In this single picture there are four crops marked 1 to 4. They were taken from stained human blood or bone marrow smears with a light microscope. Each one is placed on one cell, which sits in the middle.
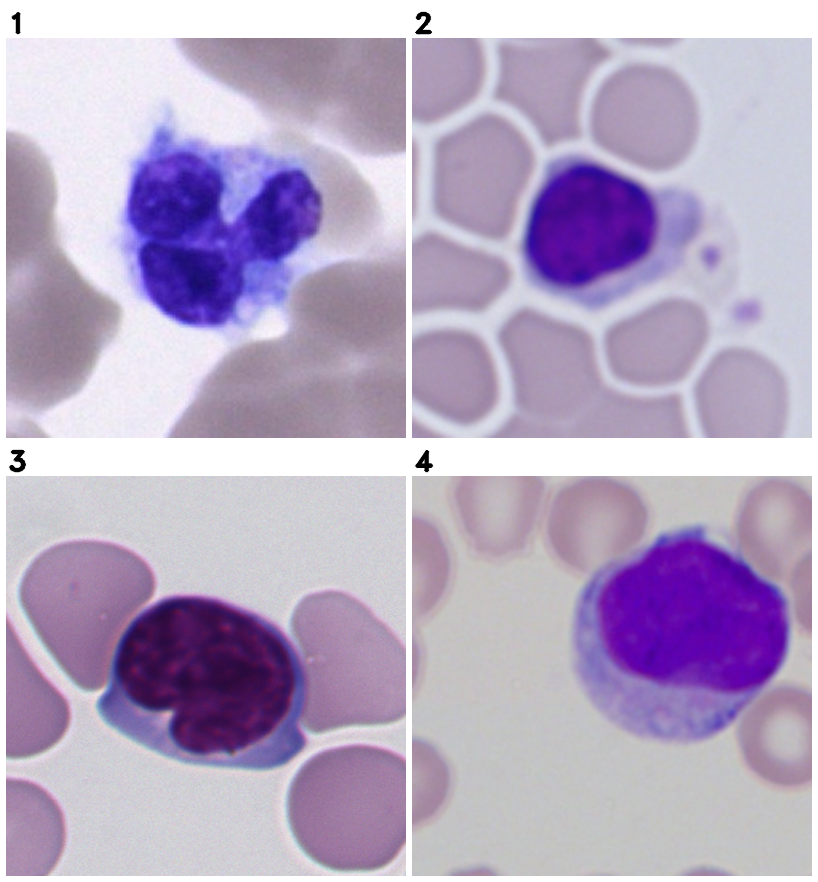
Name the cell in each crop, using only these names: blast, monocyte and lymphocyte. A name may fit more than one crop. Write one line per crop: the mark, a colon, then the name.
1: monocyte
2: lymphocyte
3: lymphocyte
4: blast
